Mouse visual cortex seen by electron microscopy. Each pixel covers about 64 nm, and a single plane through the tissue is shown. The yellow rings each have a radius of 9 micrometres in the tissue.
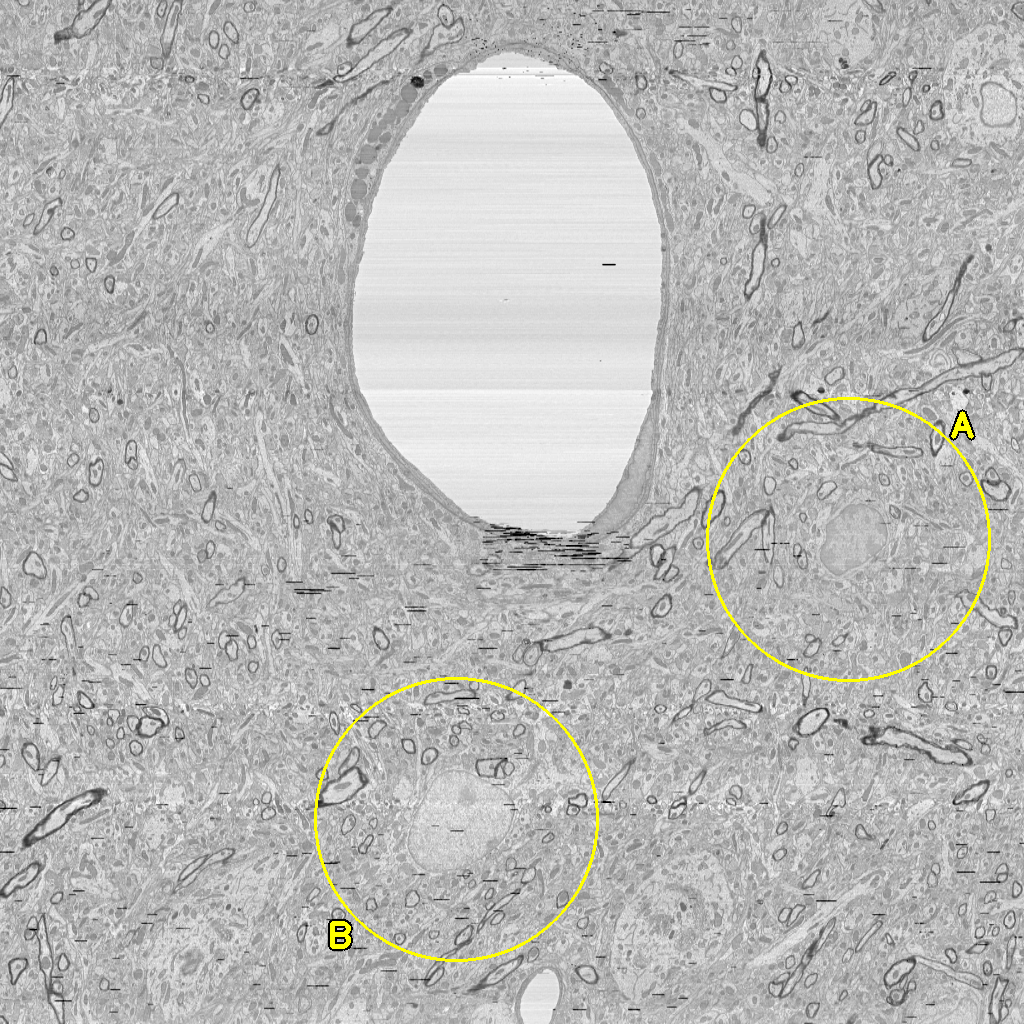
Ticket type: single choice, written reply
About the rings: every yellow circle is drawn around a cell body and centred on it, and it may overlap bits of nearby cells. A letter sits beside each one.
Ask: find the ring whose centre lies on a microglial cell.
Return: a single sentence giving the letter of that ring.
At the centre of the ring marked A lies the cell asked for.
